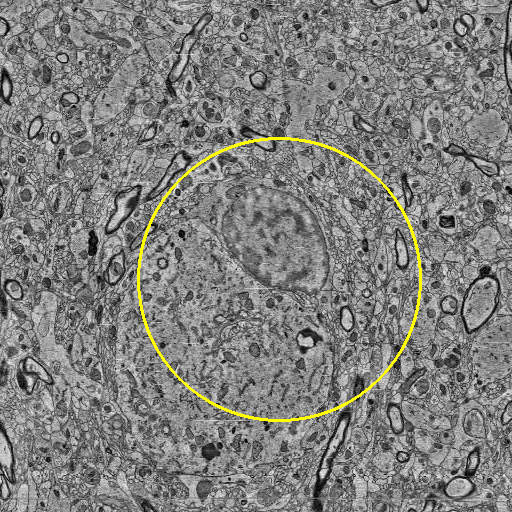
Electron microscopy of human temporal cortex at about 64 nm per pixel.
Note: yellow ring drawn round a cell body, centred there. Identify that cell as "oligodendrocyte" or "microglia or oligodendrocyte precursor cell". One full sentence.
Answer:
The cell in the middle of the ring is an oligodendrocyte.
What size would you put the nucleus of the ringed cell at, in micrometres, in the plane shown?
About 8 by 6 micrometers, in this plane.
